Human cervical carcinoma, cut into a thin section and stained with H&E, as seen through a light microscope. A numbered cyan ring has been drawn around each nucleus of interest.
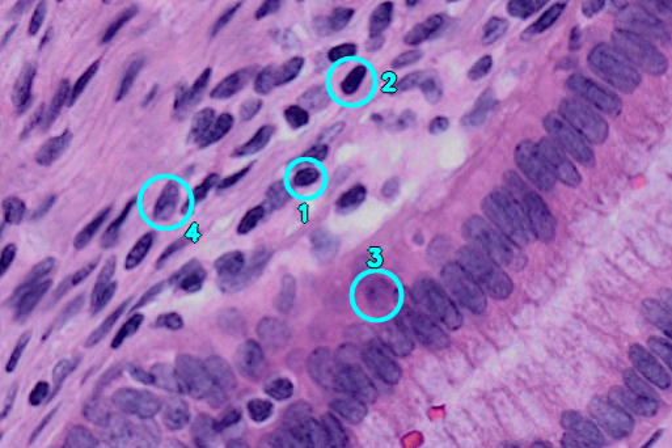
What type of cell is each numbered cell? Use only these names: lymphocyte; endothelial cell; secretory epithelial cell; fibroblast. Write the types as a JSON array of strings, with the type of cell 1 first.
["lymphocyte", "lymphocyte", "secretory epithelial cell", "fibroblast"]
